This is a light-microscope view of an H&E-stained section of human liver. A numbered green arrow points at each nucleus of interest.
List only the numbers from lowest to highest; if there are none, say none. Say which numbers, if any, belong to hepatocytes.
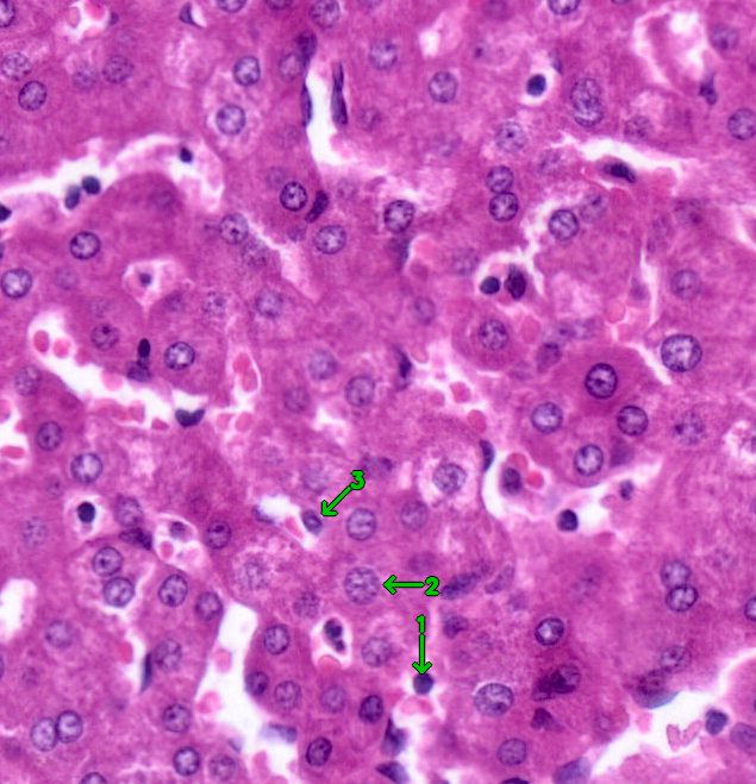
2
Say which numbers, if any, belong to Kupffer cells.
3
